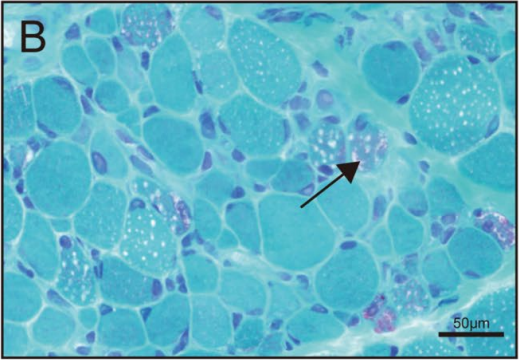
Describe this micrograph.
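Skeletal muscle in cross section, with most fibers staining an even blue-green and nuclei dark blue-purple at their margins. Scattered fibers, the ragged red fibers, hold reddish-purple granular deposits and many small pale vacuoles, giving them a blotchy look against the uniform neighbours.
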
